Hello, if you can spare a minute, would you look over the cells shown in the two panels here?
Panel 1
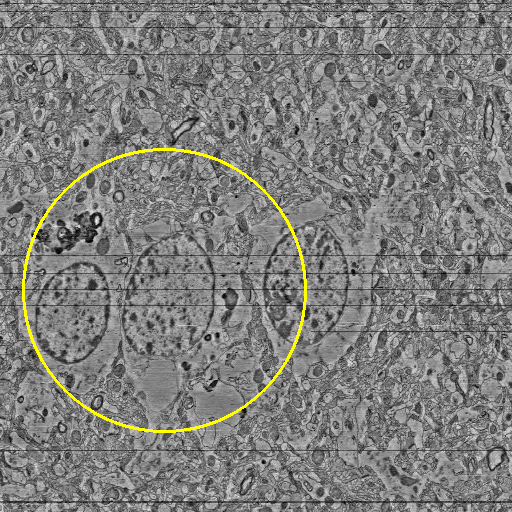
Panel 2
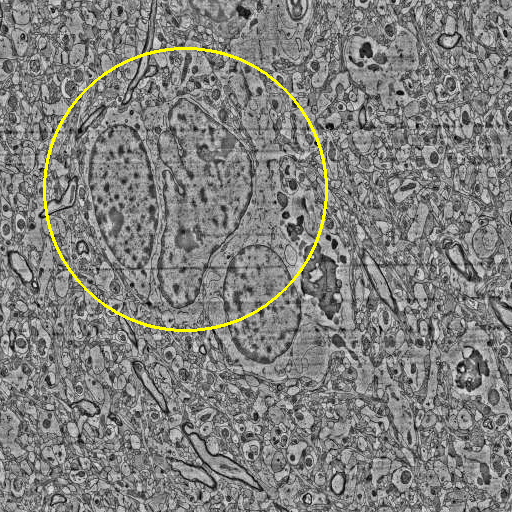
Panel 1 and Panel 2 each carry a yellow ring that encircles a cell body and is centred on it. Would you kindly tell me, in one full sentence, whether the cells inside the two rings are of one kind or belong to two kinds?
The cells at the centres of the rings in Panel 1 and Panel 2 belong to two kinds.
